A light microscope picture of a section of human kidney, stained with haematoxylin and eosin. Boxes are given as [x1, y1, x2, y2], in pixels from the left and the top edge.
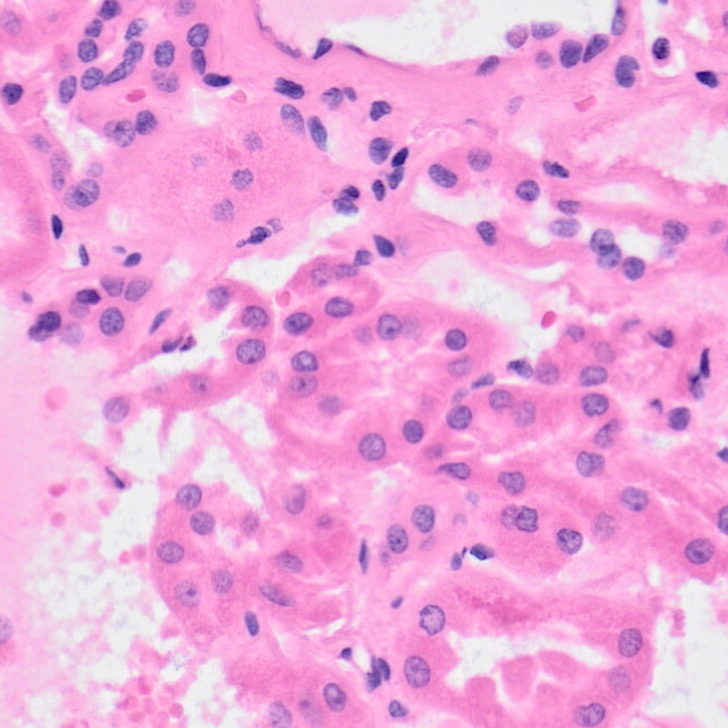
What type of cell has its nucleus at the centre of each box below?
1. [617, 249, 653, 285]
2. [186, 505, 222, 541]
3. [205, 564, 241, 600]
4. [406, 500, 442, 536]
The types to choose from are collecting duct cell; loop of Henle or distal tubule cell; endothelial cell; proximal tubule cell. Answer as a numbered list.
1. loop of Henle or distal tubule cell
2. proximal tubule cell
3. proximal tubule cell
4. collecting duct cell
